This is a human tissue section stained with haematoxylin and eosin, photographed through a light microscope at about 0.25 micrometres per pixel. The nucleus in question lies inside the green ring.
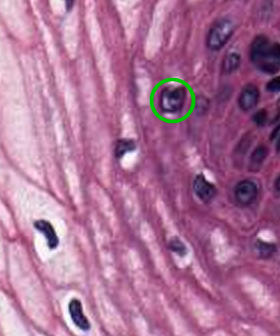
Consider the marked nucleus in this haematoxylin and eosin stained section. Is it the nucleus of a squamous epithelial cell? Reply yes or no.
yes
